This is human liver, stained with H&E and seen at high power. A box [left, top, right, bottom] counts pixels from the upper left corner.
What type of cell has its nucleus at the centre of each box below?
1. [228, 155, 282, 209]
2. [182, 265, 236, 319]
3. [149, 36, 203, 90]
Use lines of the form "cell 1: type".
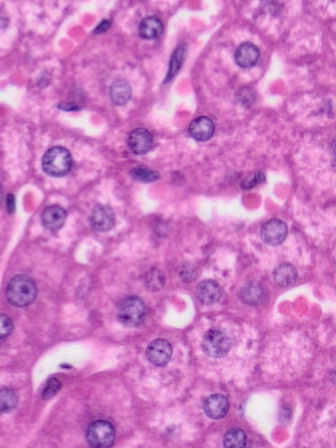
cell 1: Kupffer cell
cell 2: hepatocyte
cell 3: Kupffer cell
